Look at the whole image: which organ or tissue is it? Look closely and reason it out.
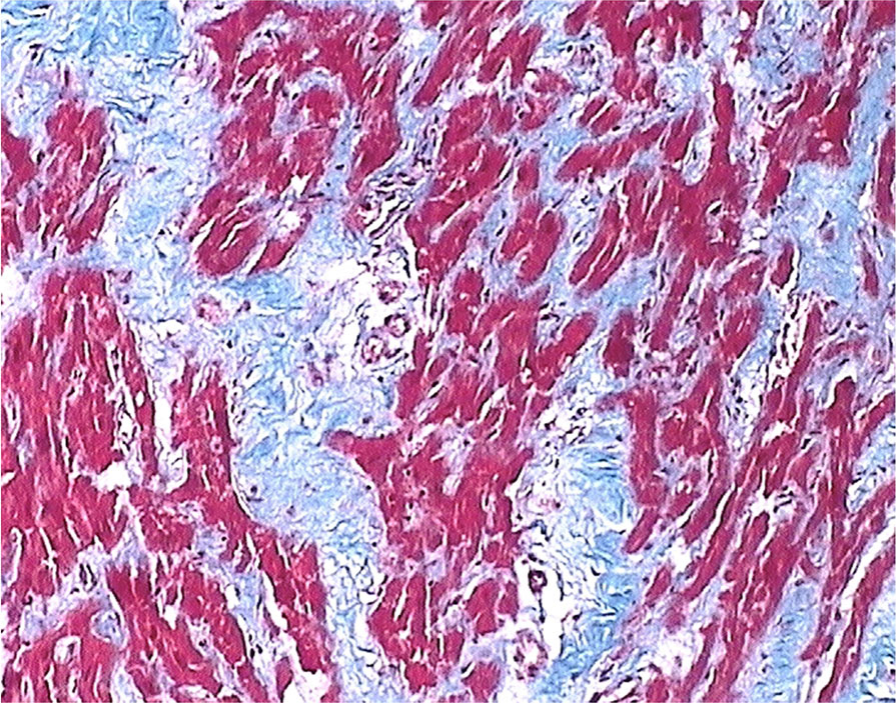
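Red-stained elongated muscle fibres are arranged in branching bundles.
Hence: myocardium.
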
